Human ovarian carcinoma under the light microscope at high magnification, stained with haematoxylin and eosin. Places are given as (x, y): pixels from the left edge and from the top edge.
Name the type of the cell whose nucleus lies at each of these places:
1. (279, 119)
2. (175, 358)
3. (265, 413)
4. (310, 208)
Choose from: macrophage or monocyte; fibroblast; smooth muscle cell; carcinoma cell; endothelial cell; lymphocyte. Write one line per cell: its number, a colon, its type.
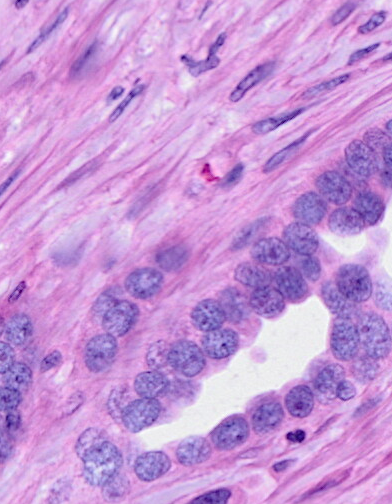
1: fibroblast
2: carcinoma cell
3: carcinoma cell
4: carcinoma cell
